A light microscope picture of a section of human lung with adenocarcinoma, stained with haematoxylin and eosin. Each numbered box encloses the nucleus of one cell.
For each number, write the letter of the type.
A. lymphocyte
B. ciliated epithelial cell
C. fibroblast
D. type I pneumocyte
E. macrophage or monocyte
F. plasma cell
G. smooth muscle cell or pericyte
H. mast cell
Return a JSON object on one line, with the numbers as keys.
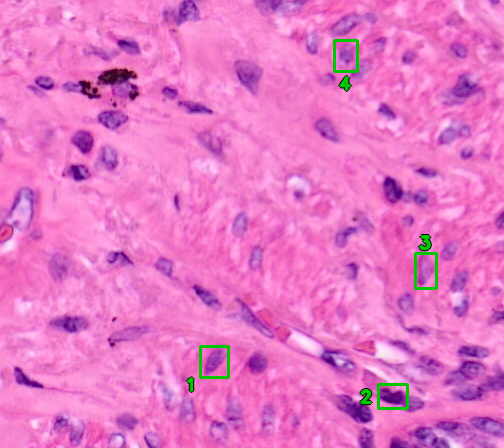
{"1": "G", "2": "F", "3": "G", "4": "G"}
